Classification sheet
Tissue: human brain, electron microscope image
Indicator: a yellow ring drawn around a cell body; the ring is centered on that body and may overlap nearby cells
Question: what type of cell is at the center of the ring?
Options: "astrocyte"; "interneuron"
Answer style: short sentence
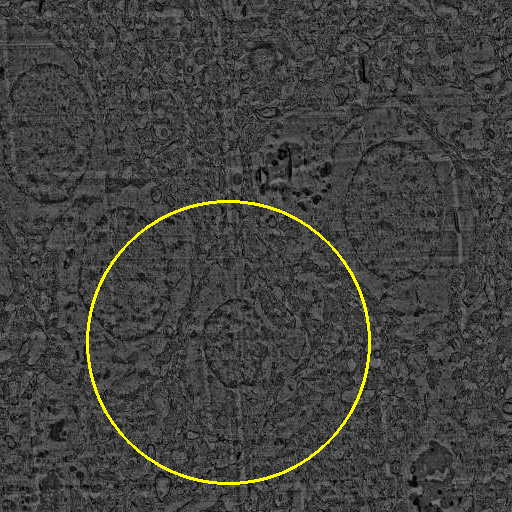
At the ring's center is an astrocyte.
